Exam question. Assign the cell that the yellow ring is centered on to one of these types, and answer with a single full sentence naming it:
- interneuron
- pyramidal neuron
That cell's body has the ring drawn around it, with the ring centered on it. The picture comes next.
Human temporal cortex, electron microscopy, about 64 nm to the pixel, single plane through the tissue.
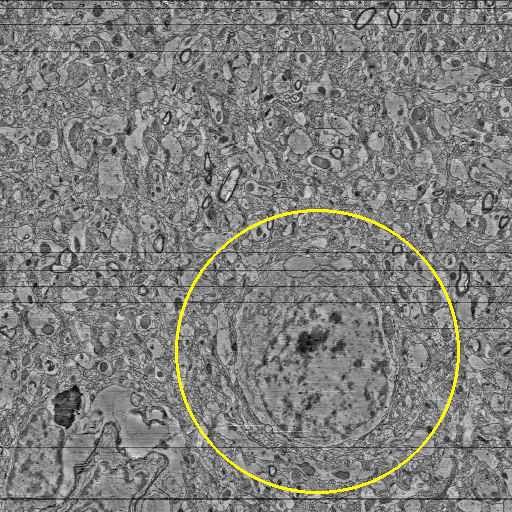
In the micrograph, the cell the yellow ring is centered on is an interneuron.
